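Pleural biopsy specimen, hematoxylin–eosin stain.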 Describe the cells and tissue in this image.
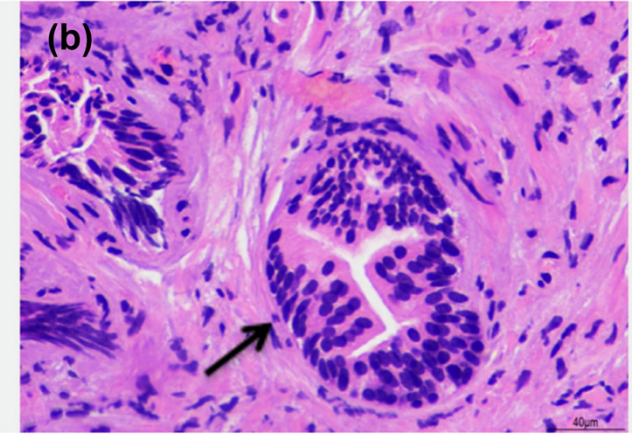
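The central nest is made of crowded columnar cells with dark purple oval nuclei arranged around a narrow slit-like lumen, forming a gland-like structure. It sits in pink collagenous stroma with scattered spindle-shaped nuclei, and a similar nest of elongated dark nuclei lies at the upper left.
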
